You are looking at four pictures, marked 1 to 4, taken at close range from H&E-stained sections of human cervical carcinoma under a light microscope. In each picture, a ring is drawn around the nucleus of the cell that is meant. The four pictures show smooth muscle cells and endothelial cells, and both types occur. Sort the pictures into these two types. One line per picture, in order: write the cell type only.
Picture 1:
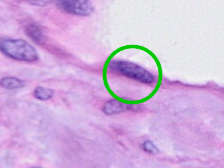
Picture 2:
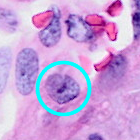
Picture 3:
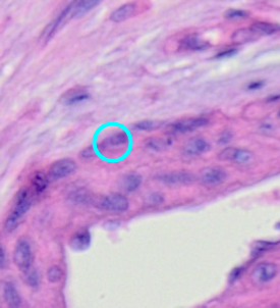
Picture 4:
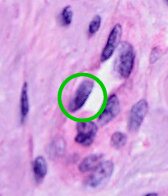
endothelial cell
endothelial cell
smooth muscle cell
endothelial cell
